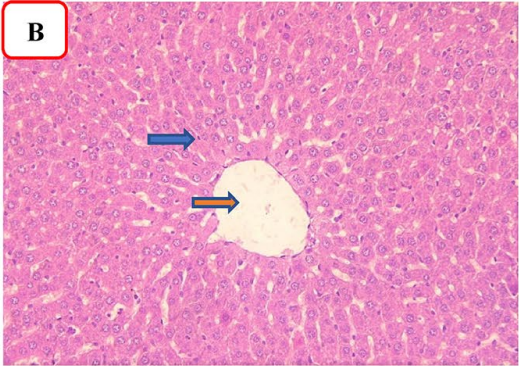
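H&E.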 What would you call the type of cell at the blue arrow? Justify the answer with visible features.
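Hepatocytes. Large polygonal cells with pink cytoplasm and round central nuclei. The cells form cords radiating from a central lumen, separated by narrow clear spaces.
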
